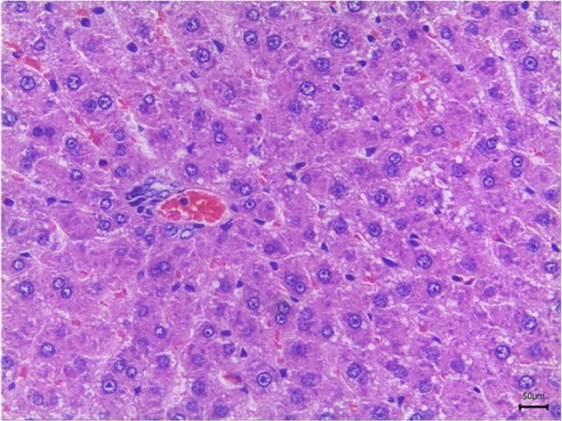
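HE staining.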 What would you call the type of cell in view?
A: Hepatocytes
